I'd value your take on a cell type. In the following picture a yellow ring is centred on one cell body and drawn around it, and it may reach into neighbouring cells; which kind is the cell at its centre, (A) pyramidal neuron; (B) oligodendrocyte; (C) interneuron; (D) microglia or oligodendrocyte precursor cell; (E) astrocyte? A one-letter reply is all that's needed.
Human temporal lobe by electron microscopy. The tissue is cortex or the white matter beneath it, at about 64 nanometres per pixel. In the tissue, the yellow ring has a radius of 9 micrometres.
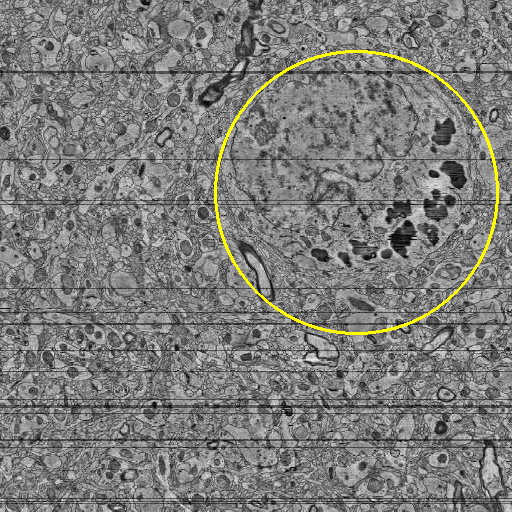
C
